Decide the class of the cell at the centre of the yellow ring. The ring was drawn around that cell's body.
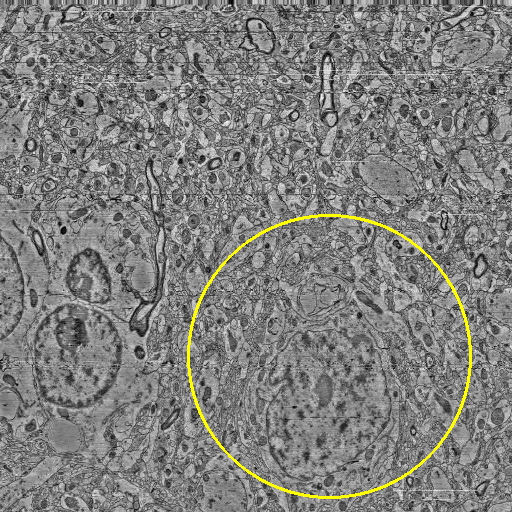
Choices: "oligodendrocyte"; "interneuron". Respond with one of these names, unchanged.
interneuron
